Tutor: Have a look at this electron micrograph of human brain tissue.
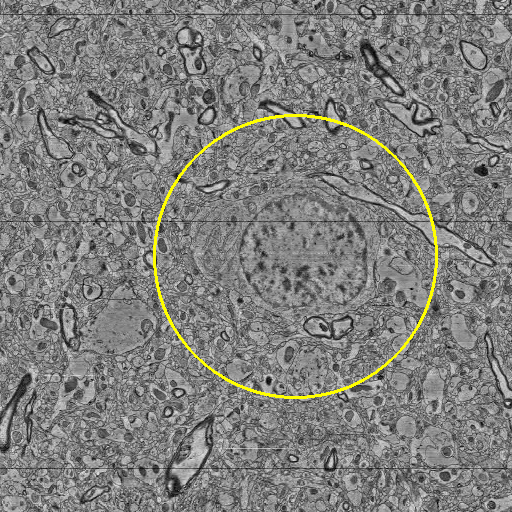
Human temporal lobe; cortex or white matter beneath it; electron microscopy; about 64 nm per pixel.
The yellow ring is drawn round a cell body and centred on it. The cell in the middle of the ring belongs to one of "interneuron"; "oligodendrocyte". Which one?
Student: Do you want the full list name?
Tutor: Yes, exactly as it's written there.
interneuron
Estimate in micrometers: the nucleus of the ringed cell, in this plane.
Roughly 8 micrometers across in this plane.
